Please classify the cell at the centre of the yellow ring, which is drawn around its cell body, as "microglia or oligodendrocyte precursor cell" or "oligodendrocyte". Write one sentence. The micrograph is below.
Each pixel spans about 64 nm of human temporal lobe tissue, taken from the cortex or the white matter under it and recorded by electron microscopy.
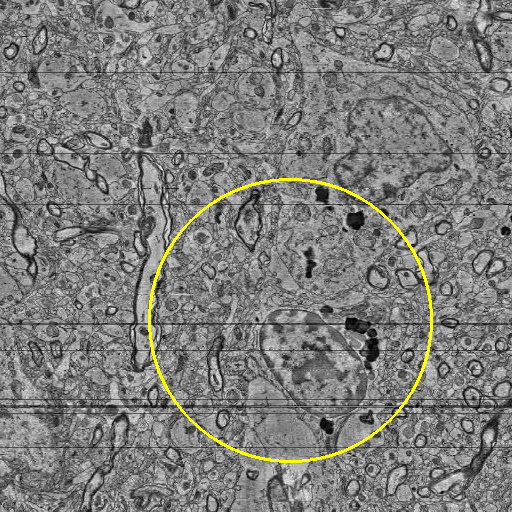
The cell at the ring's centre is classified as a microglial cell or oligodendrocyte precursor cell.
